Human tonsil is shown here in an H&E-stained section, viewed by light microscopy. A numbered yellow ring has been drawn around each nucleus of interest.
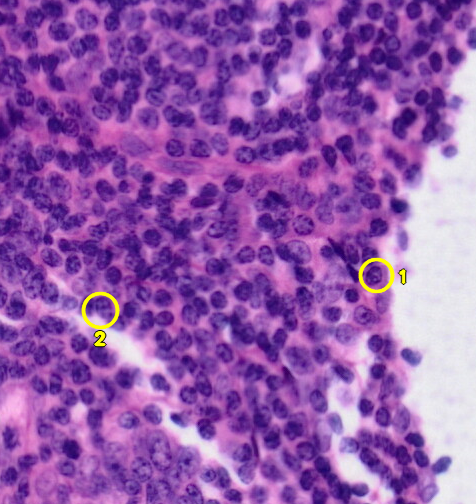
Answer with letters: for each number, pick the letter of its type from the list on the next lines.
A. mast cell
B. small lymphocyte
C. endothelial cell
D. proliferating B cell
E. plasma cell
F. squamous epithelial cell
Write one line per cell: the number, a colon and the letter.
1: E
2: B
